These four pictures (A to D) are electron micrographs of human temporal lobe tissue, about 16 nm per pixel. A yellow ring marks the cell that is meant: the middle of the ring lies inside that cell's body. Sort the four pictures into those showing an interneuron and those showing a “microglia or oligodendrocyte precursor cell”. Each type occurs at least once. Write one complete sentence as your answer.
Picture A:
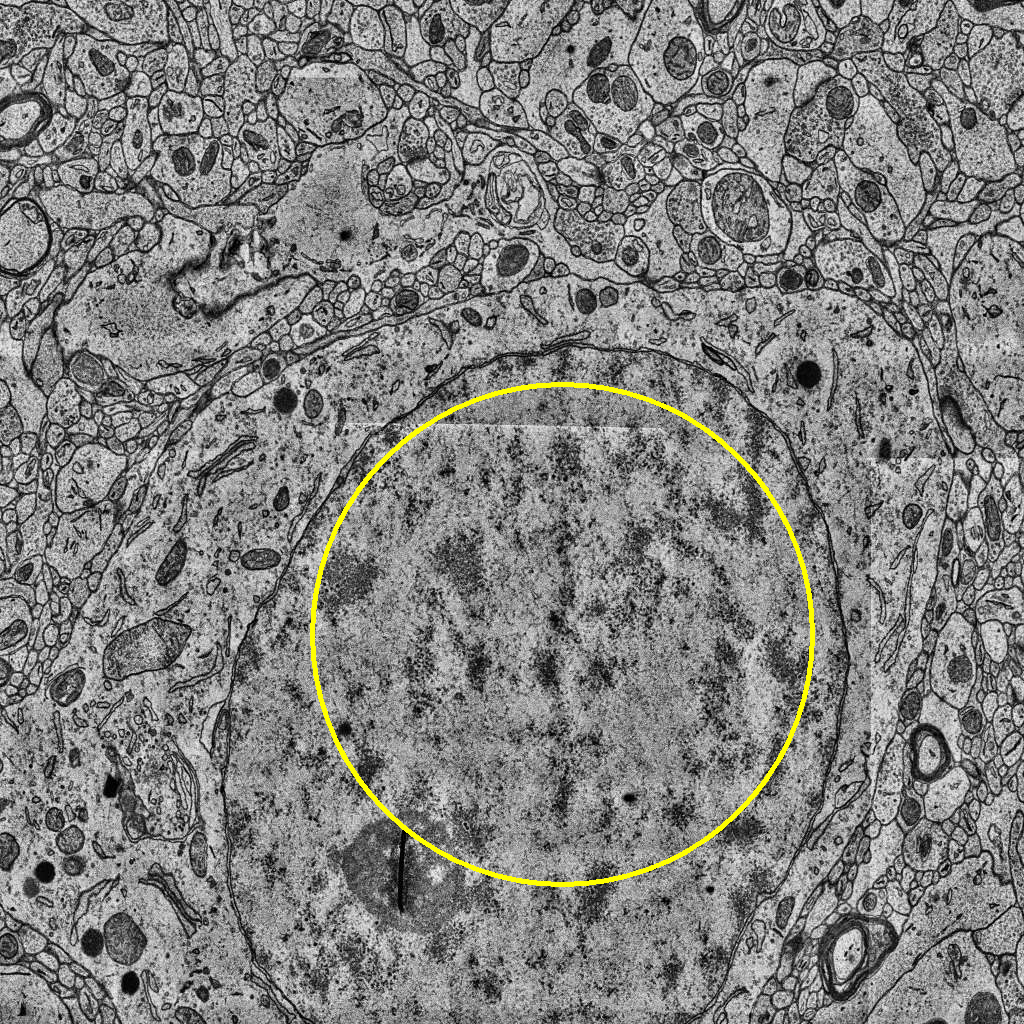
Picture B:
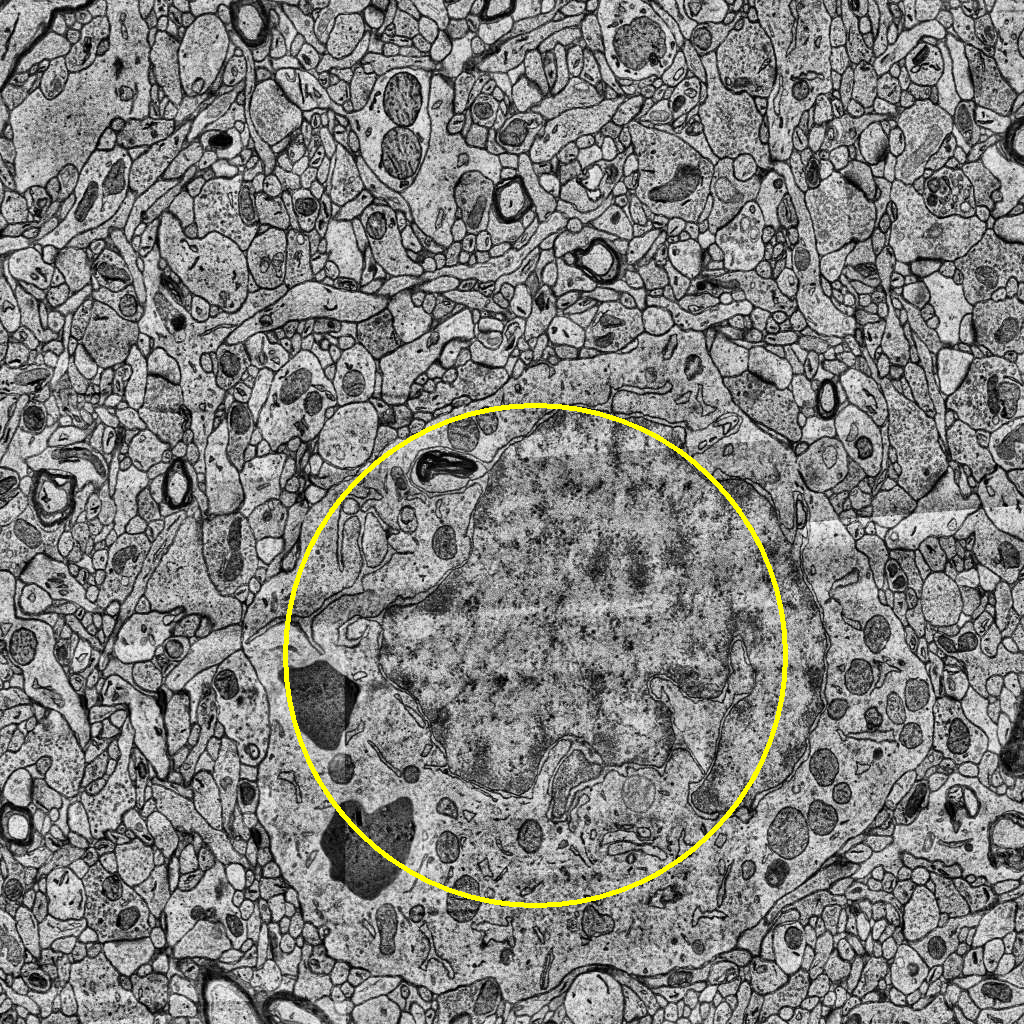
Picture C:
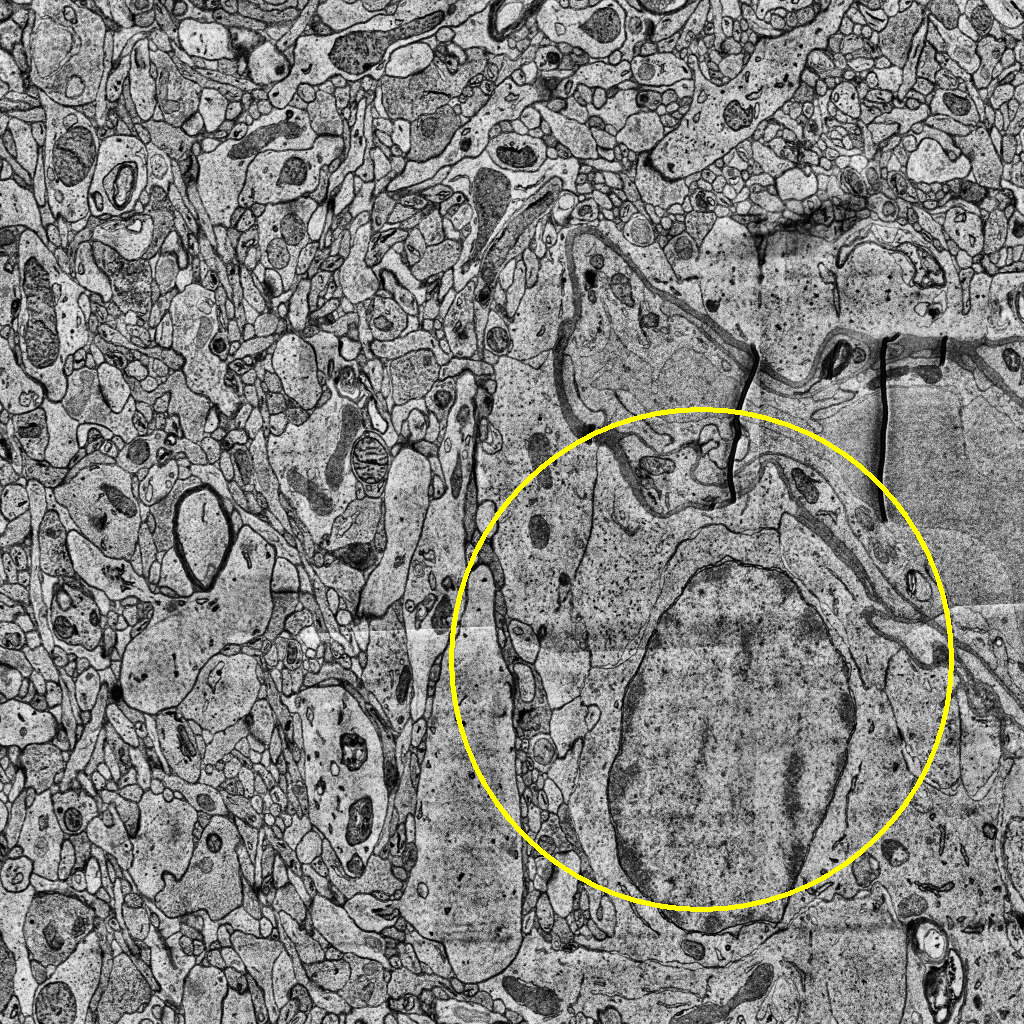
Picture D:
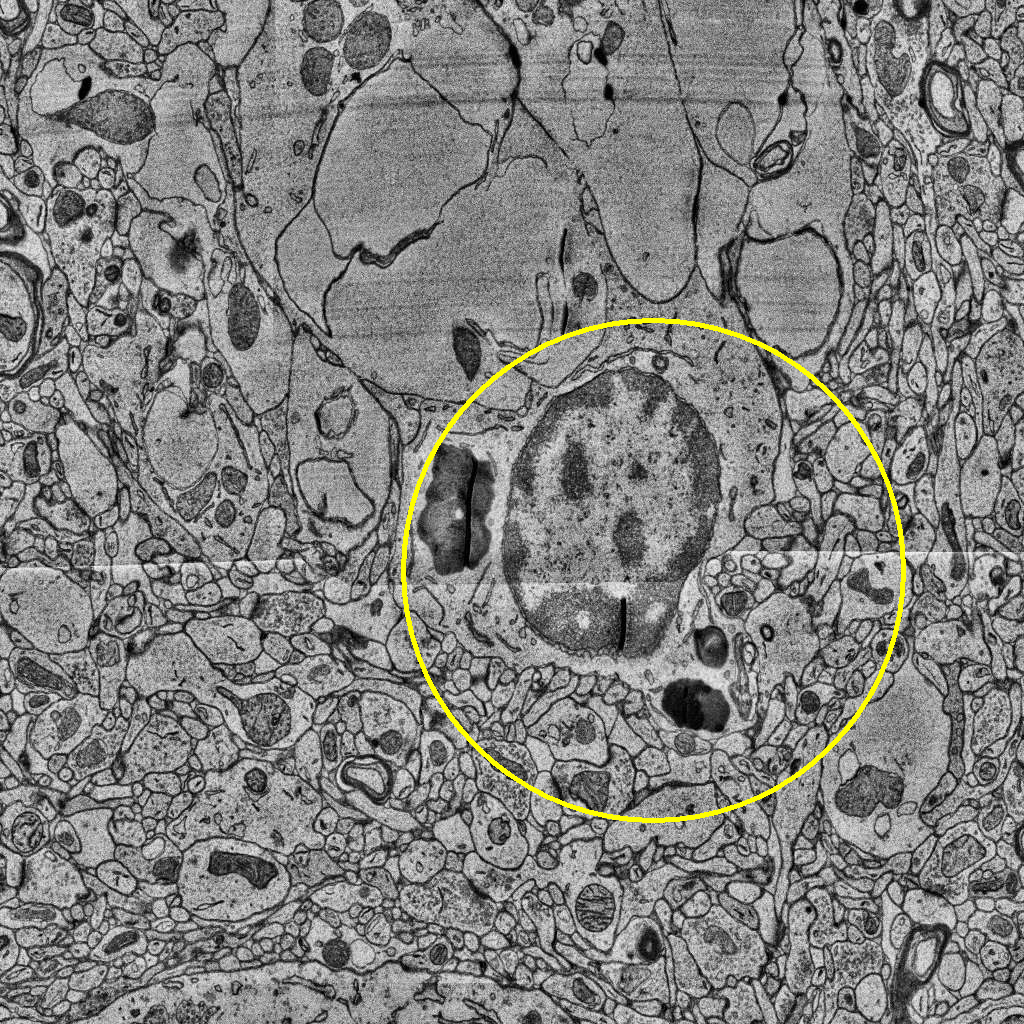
Pictures A and B show interneurons, and pictures C and D show “microglia or oligodendrocyte precursor cells”.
